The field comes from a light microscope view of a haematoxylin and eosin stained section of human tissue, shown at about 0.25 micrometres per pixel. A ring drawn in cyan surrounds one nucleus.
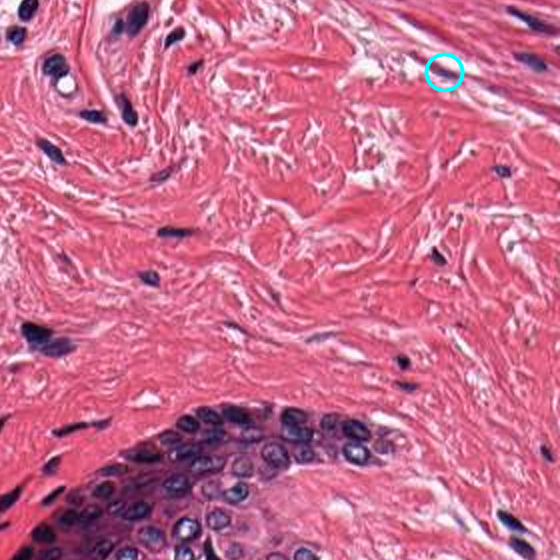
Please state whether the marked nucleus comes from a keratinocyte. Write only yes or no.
no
